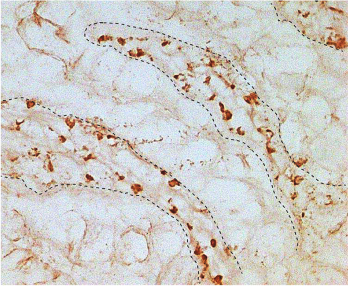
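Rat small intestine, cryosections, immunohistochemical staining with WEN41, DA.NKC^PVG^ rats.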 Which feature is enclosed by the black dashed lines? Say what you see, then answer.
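Boundary between epithelium and the lamina propria. Dashed lines trace the borders of elongated projections. Brown-stained cells lie mostly inside the dashed lines. A paler cell layer lies outside the lines.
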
